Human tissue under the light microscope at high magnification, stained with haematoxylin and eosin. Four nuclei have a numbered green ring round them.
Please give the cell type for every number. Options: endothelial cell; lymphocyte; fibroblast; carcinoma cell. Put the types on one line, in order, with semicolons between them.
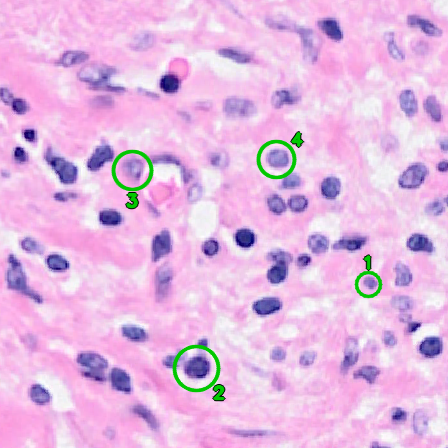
lymphocyte; lymphocyte; endothelial cell; lymphocyte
